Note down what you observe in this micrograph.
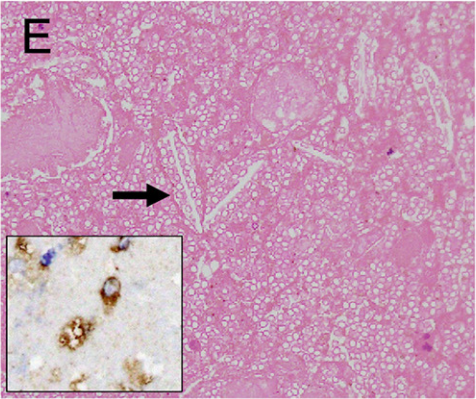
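Thrombus rich in red blood cells, seen as densely packed small round pale pink cells, with scattered slender empty clefts and a few pale rounded areas. In the inset, single rounded cells with brown cytoplasm and blue nuclei are scattered in a pale background.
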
